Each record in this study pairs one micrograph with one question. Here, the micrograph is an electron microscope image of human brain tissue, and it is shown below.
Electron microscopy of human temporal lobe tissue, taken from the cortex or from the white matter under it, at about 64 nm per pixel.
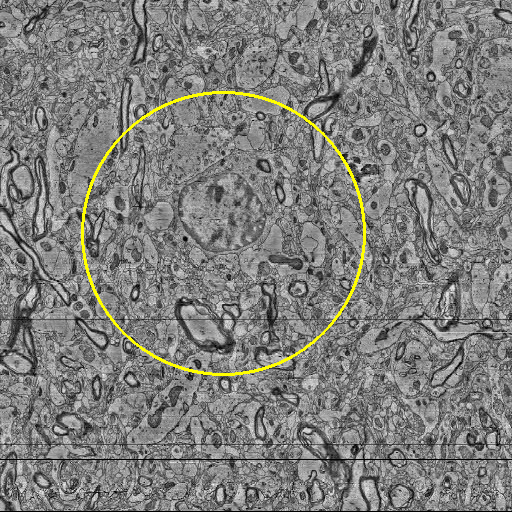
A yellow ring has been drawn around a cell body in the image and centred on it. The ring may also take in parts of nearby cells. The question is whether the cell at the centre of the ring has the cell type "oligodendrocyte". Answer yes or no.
yes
